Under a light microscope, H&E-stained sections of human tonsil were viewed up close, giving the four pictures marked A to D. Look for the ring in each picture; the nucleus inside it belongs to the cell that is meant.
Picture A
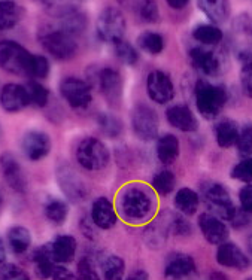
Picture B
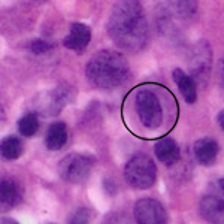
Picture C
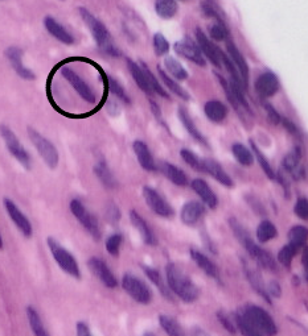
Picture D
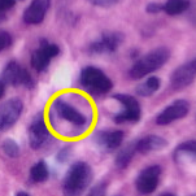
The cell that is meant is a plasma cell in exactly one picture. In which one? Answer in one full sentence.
It is picture A that shows the plasma cell.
